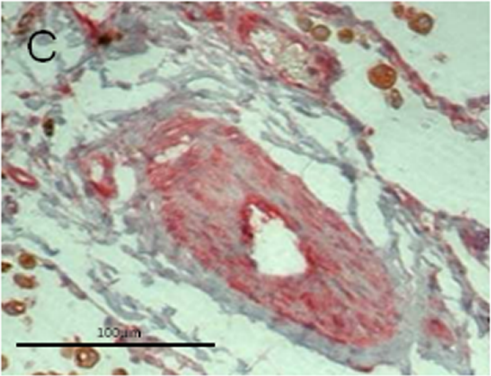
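A small vessel with a thick, muscular wall and a narrow, irregular lumen lies among thin alveolar walls. The wall is made of spindle-shaped cells running around the lumen, and much of it is stained red. Red stain also reaches the cells lining the lumen. Nearby, smaller vessels show red-stained walls too, and some round brown cells lie in the surrounding airspaces. This is a pulmonary arteriole with a thickened wall.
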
